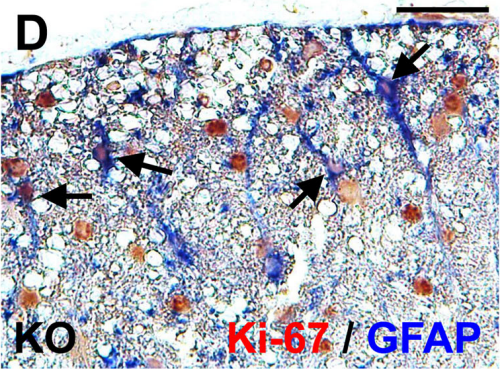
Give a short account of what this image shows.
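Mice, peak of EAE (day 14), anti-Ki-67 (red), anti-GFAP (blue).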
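This higher view of spinal cord white matter shows astrocytes scattered through a pale, vacuolated tissue. Blue astrocyte bodies give off long processes that run roughly perpendicular to the surface at the top, where a thin blue layer lines the edge. Several of these blue cells hold reddish nuclei, and other round cells with red-brown nuclei and no blue processes are scattered between them. The many small clear holes give the tissue a spongy look.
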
